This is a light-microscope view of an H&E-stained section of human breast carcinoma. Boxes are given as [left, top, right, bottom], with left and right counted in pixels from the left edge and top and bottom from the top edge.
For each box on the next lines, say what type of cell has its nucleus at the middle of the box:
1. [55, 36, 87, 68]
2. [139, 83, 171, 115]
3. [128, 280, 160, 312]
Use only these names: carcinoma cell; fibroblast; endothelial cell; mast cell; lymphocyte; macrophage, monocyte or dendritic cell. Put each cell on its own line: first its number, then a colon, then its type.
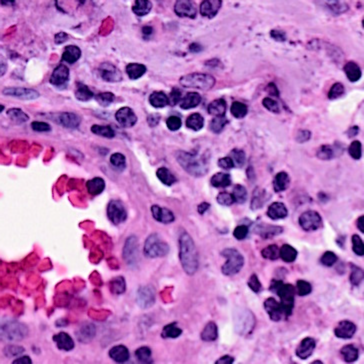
1: lymphocyte
2: lymphocyte
3: endothelial cell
